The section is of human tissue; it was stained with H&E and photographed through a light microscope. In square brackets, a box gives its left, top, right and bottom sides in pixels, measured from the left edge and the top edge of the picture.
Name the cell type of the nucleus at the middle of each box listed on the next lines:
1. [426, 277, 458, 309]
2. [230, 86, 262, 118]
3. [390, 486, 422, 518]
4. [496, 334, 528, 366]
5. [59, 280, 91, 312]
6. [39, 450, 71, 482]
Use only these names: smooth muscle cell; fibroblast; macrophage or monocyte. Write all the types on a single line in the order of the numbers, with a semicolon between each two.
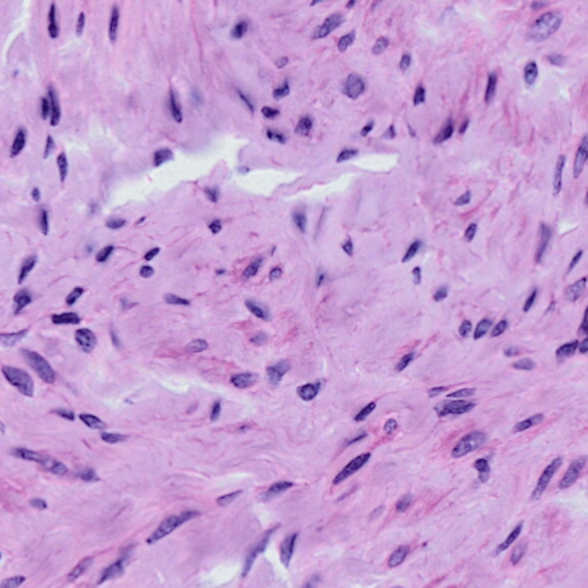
fibroblast; fibroblast; smooth muscle cell; fibroblast; fibroblast; smooth muscle cell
